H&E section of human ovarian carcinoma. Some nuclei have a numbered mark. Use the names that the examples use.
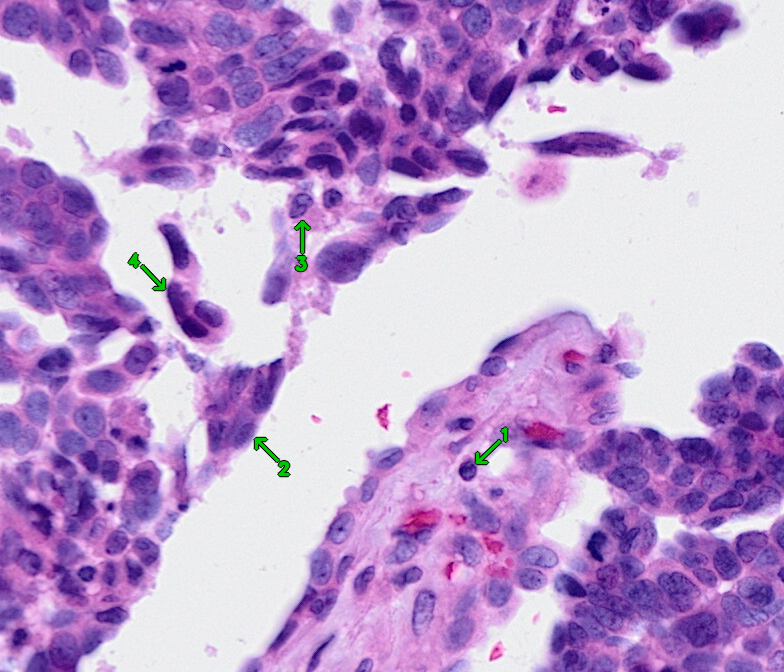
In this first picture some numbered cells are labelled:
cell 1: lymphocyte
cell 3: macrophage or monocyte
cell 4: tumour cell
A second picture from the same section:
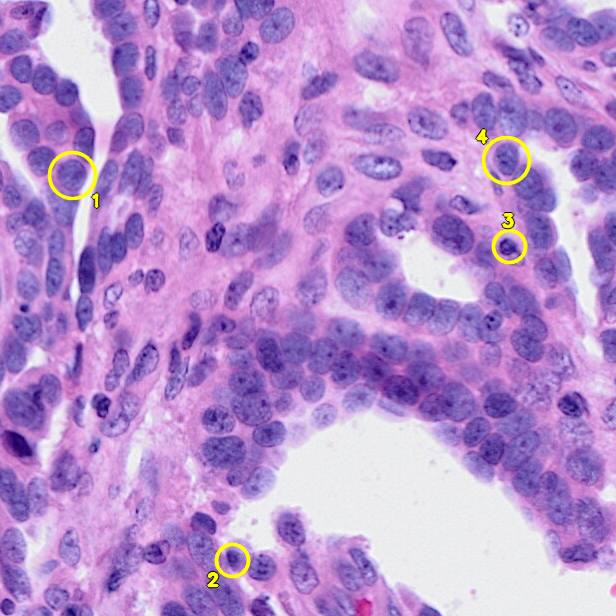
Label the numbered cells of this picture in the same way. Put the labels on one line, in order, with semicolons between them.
tumour cell; lymphocyte; lymphocyte; tumour cell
